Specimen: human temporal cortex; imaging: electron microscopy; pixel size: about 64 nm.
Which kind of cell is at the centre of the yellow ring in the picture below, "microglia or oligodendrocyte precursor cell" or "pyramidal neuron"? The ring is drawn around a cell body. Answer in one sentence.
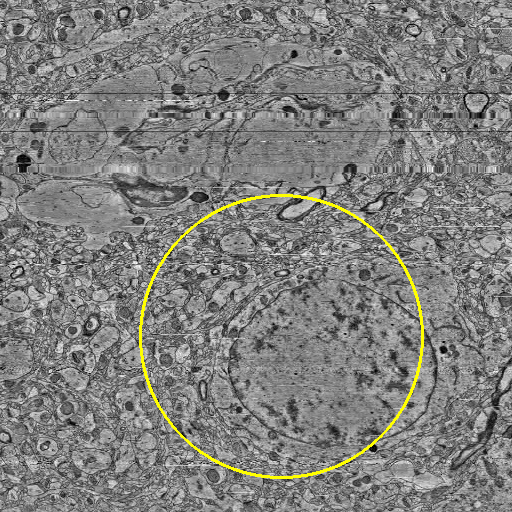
The ring's central cell is a pyramidal neuron.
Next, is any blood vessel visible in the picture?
Yes, there is a blood vessel.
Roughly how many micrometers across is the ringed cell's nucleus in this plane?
About 13 micrometres by about 11 micrometres in this plane.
